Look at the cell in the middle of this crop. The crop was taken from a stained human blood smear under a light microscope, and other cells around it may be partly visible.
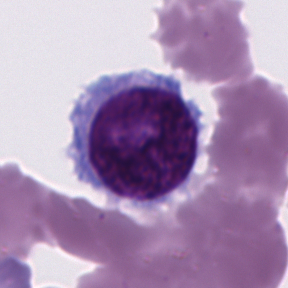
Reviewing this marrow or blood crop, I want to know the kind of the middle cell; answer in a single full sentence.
Classification of the middle cell gives a hairy cell.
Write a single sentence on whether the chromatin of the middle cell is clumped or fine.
What stands out is chromatin that is coarsely clumped.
